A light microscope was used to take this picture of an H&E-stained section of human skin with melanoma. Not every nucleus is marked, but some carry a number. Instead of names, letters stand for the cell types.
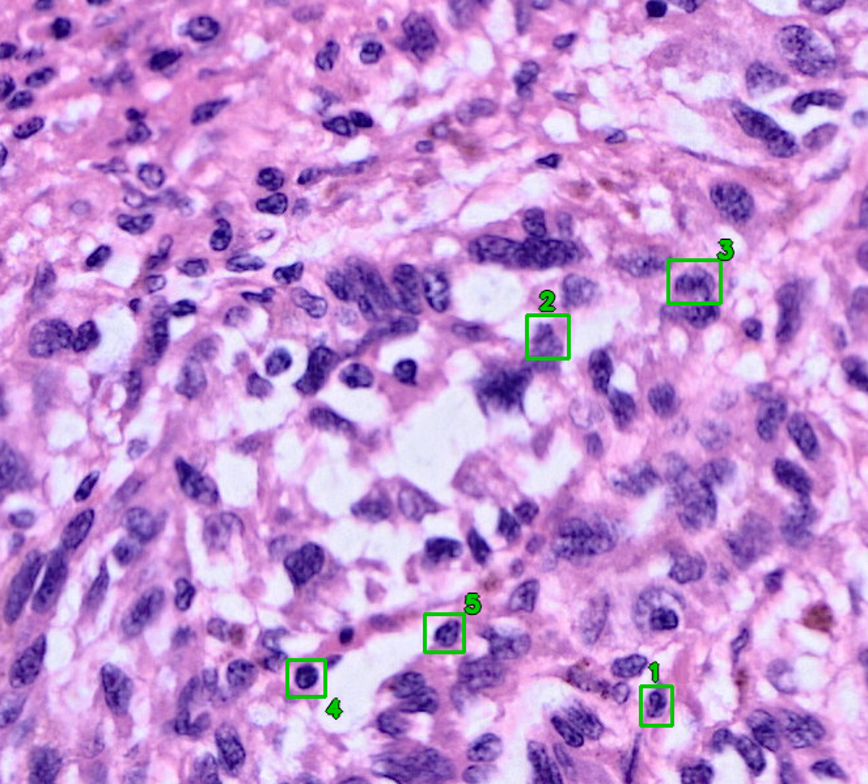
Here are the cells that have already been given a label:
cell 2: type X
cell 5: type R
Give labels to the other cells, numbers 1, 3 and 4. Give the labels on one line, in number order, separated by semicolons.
type R; type X; type R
